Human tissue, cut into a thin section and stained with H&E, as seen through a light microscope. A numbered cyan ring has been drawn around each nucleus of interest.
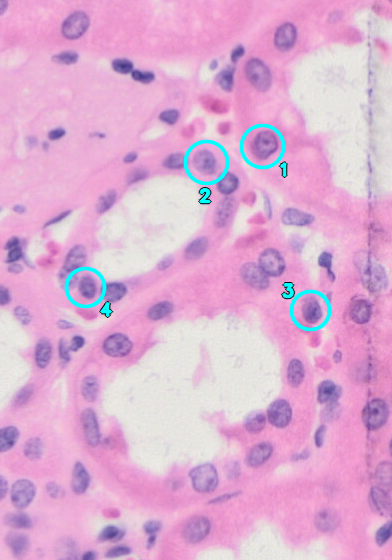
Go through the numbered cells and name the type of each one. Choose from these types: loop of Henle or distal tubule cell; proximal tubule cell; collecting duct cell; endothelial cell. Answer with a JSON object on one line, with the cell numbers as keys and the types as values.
{"1": "proximal tubule cell", "2": "collecting duct cell", "3": "endothelial cell", "4": "collecting duct cell"}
